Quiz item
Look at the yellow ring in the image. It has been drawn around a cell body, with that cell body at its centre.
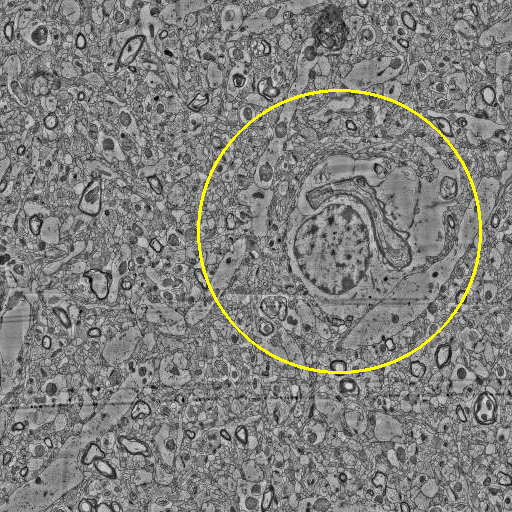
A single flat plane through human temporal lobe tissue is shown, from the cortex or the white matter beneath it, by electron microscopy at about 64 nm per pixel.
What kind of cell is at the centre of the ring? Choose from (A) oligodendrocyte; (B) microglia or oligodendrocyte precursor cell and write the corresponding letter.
B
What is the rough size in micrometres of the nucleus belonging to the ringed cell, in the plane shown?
In this plane, roughly 6 by 5 micrometres.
